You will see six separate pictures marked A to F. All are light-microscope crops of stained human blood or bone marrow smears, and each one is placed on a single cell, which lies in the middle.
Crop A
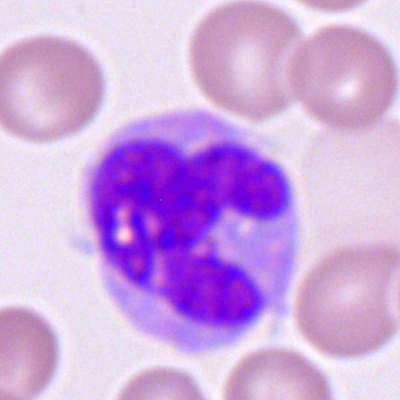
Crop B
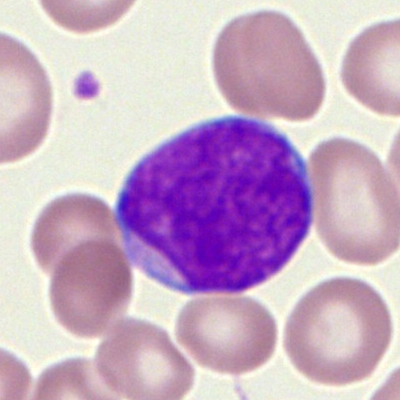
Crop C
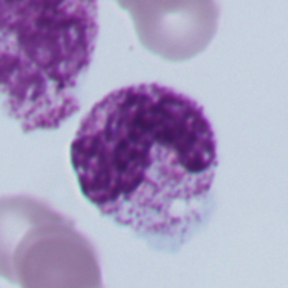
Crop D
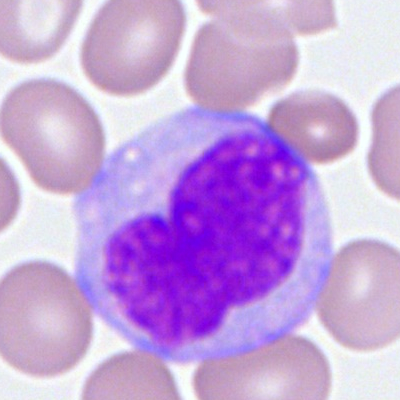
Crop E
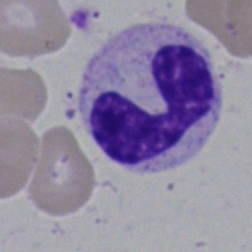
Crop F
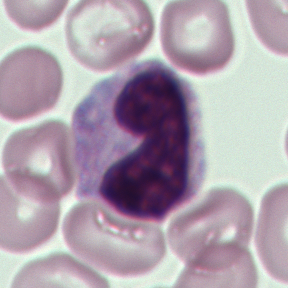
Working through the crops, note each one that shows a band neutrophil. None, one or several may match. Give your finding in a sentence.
Crops C, E and F are designated as showing band neutrophils.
